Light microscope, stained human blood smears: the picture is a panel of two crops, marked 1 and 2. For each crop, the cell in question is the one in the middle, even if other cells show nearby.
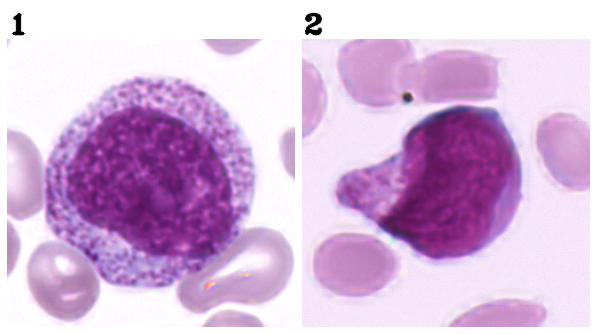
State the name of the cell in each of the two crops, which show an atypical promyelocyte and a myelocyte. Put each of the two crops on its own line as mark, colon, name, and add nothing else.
1: myelocyte
2: atypical promyelocyte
